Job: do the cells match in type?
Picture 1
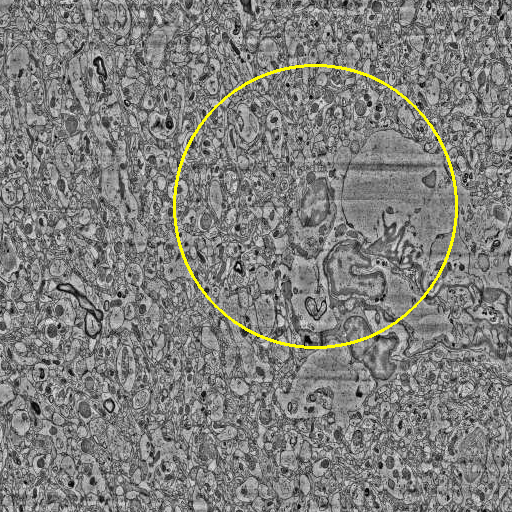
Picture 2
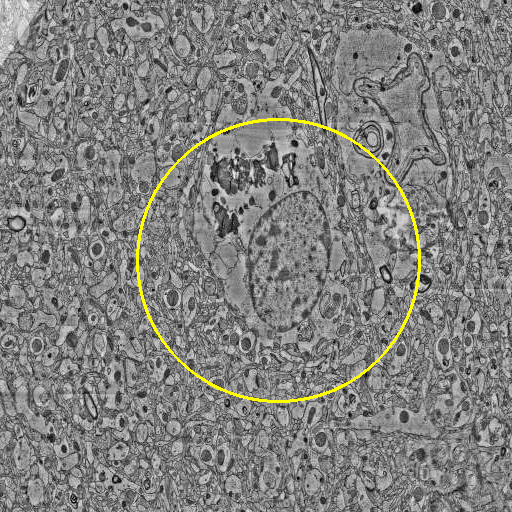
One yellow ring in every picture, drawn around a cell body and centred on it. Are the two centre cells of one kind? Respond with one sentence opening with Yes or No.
No, the ringed cells in the two pictures are of two separate kinds.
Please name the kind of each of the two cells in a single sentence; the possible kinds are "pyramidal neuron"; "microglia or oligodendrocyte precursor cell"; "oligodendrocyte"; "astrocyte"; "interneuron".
In the first picture the ring is centred on an oligodendrocyte, and in the second on an astrocyte.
